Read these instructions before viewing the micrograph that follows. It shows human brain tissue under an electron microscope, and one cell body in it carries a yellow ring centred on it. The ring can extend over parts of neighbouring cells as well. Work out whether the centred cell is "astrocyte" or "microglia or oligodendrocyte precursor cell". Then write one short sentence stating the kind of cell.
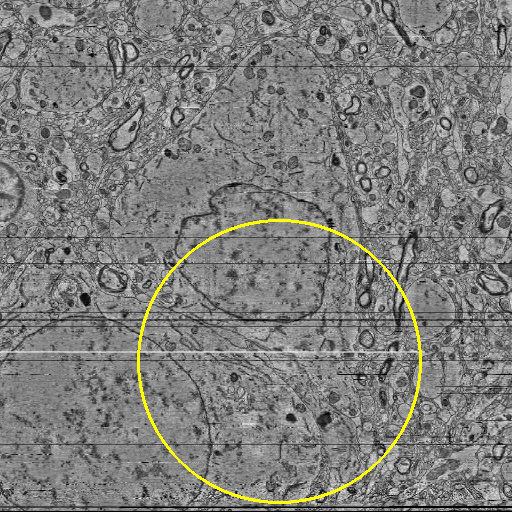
The ringed cell is a microglial cell or oligodendrocyte precursor cell.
